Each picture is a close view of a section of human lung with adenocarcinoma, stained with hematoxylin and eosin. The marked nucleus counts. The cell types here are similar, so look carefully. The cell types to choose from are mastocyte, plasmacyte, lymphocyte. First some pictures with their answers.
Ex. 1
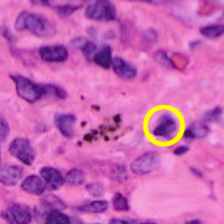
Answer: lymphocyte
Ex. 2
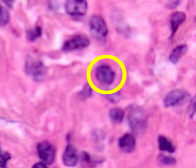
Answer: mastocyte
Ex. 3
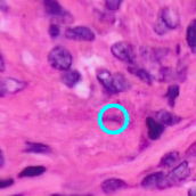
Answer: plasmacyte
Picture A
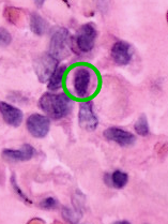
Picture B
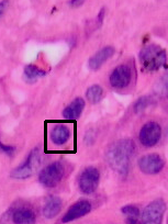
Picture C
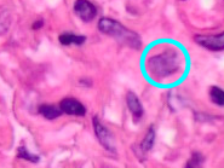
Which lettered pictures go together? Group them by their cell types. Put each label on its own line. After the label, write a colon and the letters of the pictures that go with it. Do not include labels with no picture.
mastocyte: B, C
plasmacyte: A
